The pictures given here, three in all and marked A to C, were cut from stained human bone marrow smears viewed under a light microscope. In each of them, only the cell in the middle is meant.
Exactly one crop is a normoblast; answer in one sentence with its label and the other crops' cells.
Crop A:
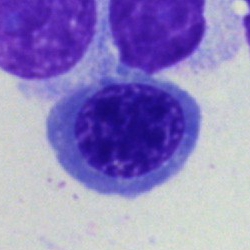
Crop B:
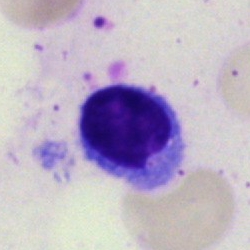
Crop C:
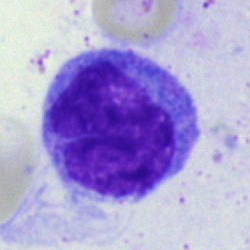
Shown in crop A is a normoblast, whereas crop B is a lymphocyte and crop C is a monocyte.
